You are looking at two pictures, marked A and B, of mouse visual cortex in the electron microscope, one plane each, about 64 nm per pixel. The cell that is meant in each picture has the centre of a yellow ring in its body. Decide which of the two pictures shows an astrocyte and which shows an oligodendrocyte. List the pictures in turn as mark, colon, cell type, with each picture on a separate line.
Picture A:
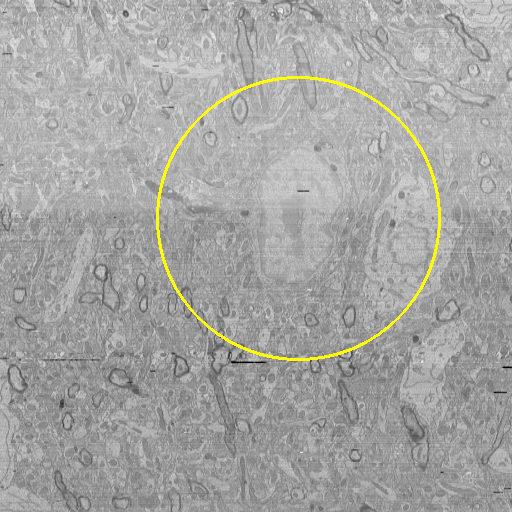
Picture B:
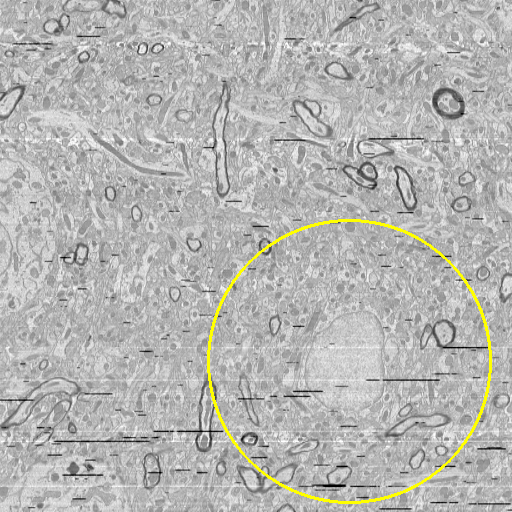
A: oligodendrocyte
B: astrocyte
